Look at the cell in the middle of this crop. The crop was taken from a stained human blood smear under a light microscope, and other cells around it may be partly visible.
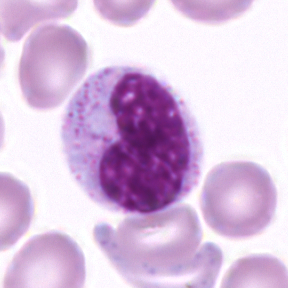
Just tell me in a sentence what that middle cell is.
On this slide crop, the central cell is a metamyelocyte.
